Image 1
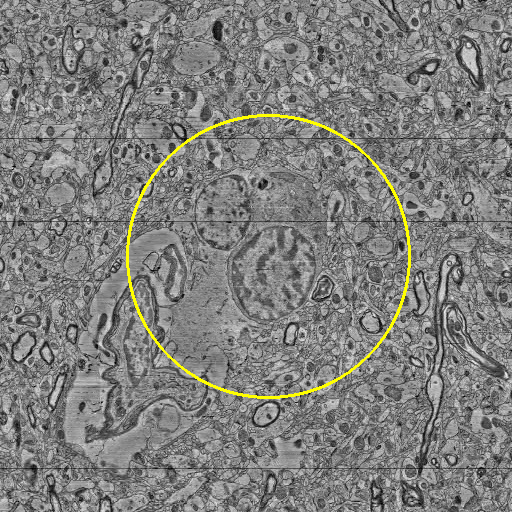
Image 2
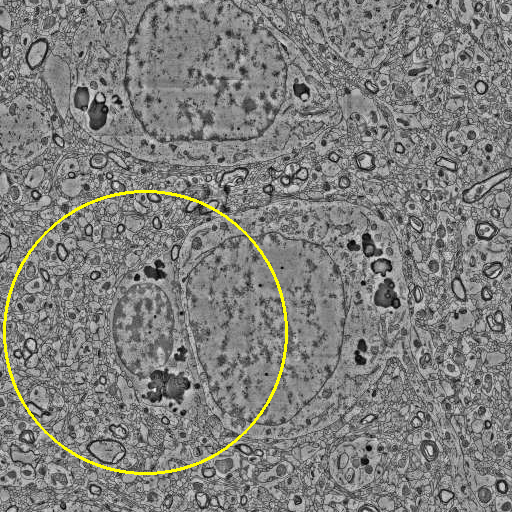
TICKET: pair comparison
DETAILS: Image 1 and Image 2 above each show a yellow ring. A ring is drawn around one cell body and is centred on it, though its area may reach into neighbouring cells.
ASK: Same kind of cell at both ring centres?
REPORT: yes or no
yes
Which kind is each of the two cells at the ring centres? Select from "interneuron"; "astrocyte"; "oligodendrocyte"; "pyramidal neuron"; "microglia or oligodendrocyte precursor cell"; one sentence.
In the first picture and in the second, the ring is centred on an oligodendrocyte.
